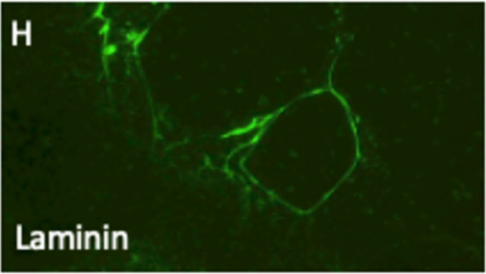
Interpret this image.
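A culture with a vessel-like network outlined by thin green strands on a dark background. In the centre the strands close into a loop around an empty dark space, and further branching strands run off toward the upper left.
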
